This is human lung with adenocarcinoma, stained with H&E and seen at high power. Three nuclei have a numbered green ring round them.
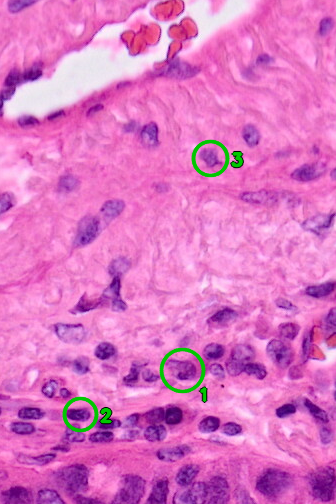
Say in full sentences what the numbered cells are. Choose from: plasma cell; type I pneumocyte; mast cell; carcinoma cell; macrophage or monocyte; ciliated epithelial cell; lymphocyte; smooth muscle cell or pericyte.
Cell 1 is a plasma cell, cell 2 is a lymphocyte and cell 3 is a smooth muscle cell or pericyte.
